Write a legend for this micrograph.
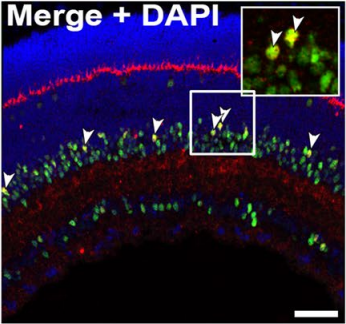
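This section of retina shows an outer nuclear layer, an inner nuclear layer and a ganglion cell layer stacked from top to bottom. At the top, a band of densely packed blue nuclei forms the outer nuclear layer, edged below by a thin red line. In the inner nuclear layer, round green nuclei are crowded in a row, with some yellow ones marked by white arrowheads. Further down, scattered green nuclei lie in and near the ganglion cell layer, separated from the inner nuclear layer by a fainter reddish band. The inset enlarges several round green and yellow nuclei.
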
